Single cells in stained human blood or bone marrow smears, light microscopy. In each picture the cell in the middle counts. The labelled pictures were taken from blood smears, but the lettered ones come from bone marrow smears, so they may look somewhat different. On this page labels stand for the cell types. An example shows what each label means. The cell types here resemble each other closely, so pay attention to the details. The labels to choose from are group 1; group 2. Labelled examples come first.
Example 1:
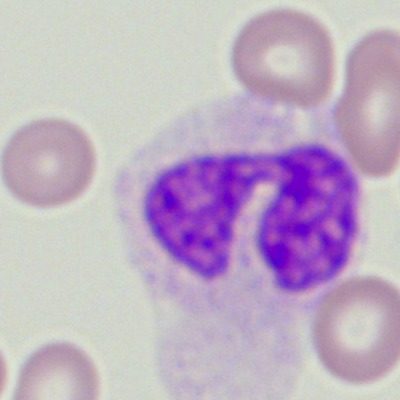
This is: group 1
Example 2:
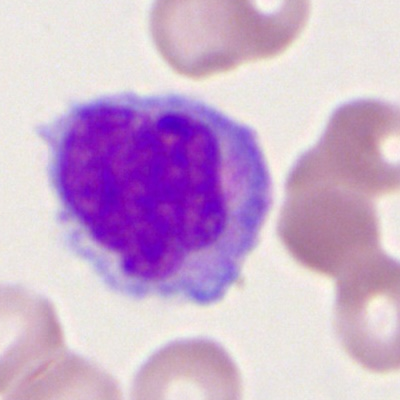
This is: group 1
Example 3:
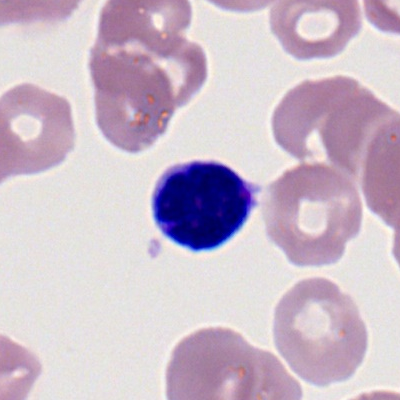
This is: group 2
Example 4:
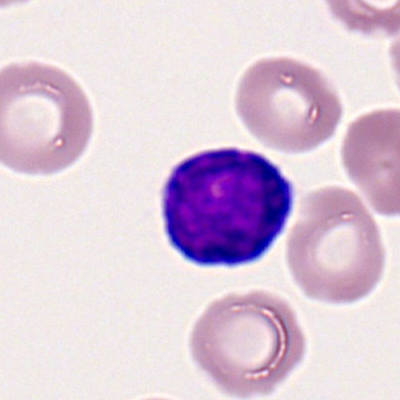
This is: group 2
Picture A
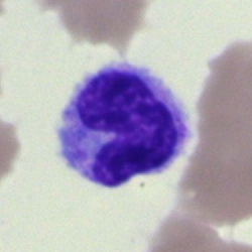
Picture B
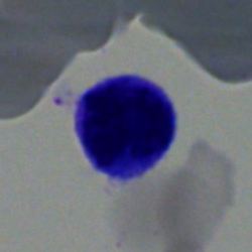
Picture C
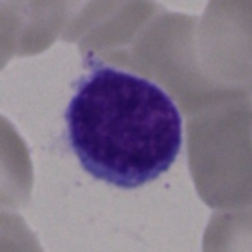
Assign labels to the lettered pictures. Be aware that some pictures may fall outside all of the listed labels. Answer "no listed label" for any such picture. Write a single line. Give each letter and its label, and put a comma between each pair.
A group 1, B group 2, C group 2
